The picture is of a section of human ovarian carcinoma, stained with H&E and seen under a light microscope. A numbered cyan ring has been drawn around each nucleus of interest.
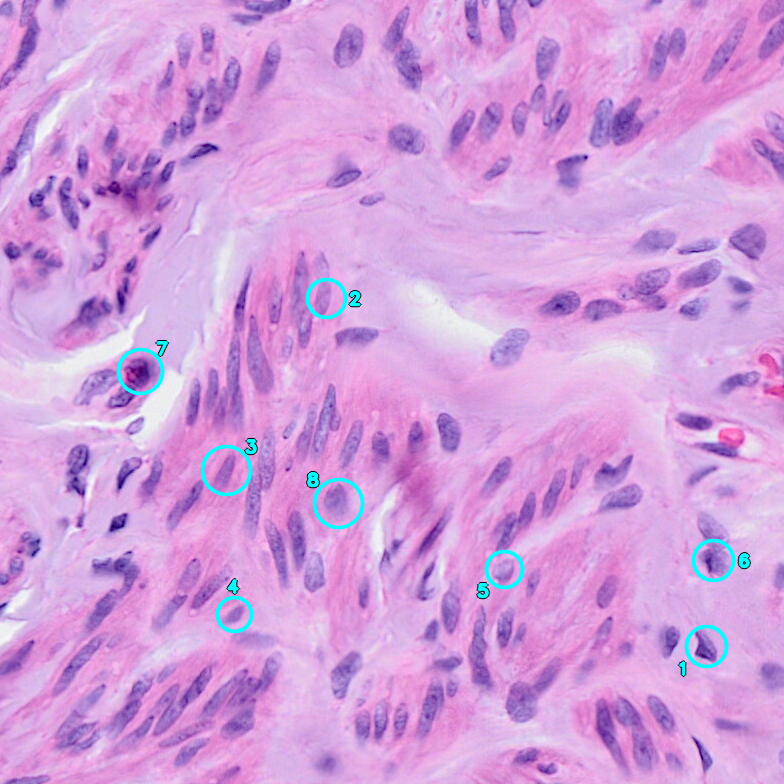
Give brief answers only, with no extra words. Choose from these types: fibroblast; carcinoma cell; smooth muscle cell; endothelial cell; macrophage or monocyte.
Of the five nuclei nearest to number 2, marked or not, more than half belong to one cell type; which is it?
smooth muscle cell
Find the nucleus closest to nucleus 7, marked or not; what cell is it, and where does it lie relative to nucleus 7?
an endothelial cell, below and to the left of nucleus 7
